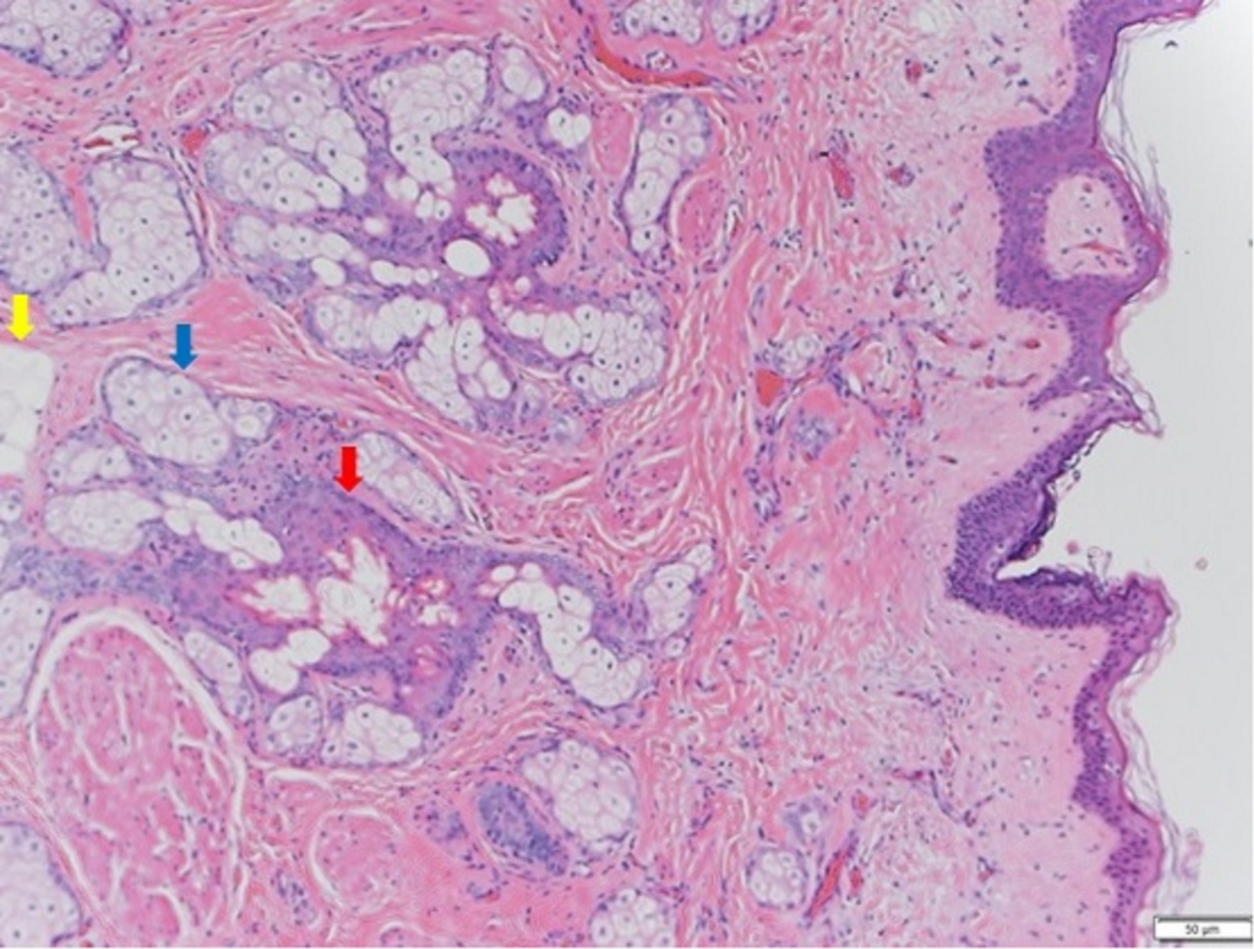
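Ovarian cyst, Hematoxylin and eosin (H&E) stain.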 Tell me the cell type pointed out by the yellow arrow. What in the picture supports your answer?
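A large, empty, clear space at the left edge. The space is much larger than the neighbouring gland cells. The answer: Fat cells.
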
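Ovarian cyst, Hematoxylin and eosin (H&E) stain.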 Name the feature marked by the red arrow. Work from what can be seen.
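A band of densely packed, dark purple epithelial cells with little cytoplasm. Pale glandular lobules open off this band on both sides. On this evidence: hair follicles.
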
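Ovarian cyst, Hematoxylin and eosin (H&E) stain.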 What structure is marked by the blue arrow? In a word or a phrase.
Sebaceous glands.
